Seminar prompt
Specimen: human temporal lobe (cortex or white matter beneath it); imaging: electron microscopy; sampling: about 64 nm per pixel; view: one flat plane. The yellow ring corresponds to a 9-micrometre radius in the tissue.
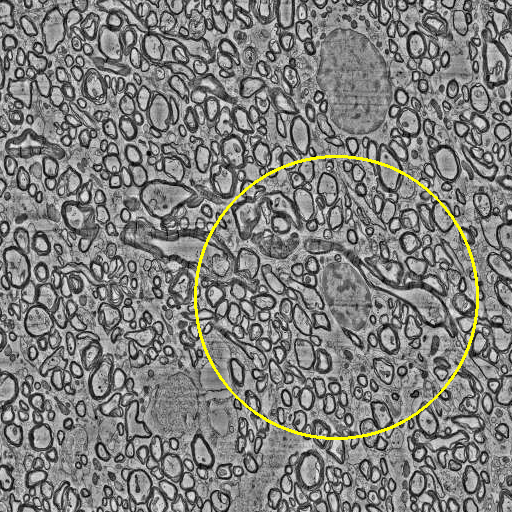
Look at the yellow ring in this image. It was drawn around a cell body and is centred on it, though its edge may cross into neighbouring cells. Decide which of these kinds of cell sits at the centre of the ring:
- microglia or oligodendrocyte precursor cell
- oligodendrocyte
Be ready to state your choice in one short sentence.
The kind of cell at the ring's centre is a microglial cell or oligodendrocyte precursor cell.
